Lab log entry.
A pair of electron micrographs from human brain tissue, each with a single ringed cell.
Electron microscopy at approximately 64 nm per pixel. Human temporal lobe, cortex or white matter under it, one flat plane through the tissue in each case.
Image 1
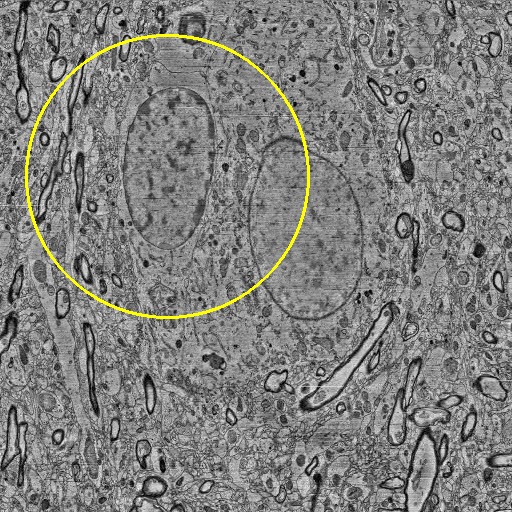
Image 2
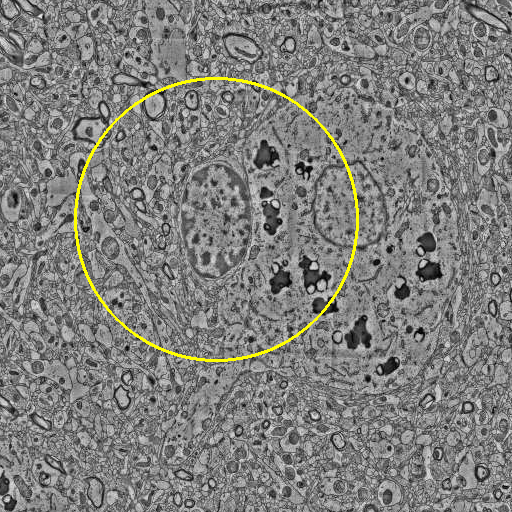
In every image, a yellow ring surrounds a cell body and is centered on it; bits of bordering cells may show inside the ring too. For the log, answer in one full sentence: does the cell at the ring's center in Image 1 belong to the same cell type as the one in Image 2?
Yes, the cells at the ring centers in Image 1 and Image 2 share one type.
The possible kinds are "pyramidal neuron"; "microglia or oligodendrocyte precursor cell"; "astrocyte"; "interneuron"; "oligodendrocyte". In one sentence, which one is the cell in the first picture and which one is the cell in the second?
In both pictures the ring is centred on a microglial cell or oligodendrocyte precursor cell.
